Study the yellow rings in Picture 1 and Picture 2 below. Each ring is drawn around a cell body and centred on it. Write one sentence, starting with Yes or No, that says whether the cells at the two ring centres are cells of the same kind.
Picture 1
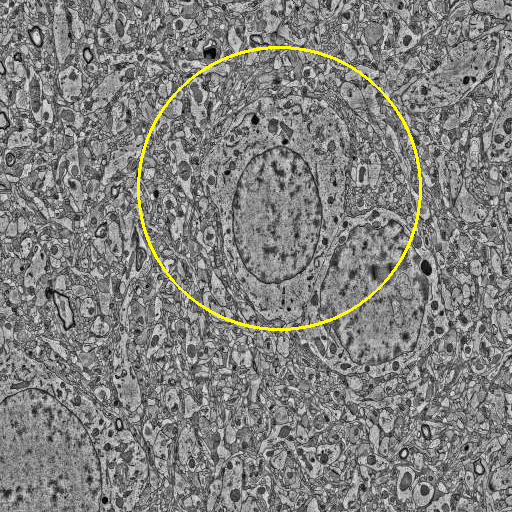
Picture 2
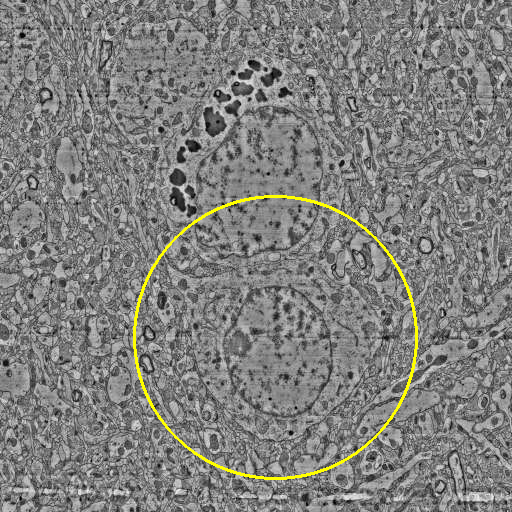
Yes, the cells at both ring centres are of the same kind.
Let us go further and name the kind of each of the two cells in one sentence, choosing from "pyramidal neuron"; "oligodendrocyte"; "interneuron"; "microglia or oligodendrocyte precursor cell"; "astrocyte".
In the first picture and in the second, the ring is centred on a pyramidal neuron.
